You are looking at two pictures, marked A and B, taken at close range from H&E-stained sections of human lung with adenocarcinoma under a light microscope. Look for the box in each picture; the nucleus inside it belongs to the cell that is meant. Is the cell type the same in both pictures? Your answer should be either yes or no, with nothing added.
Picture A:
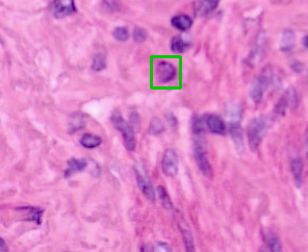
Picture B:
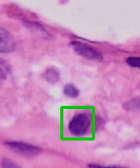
no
